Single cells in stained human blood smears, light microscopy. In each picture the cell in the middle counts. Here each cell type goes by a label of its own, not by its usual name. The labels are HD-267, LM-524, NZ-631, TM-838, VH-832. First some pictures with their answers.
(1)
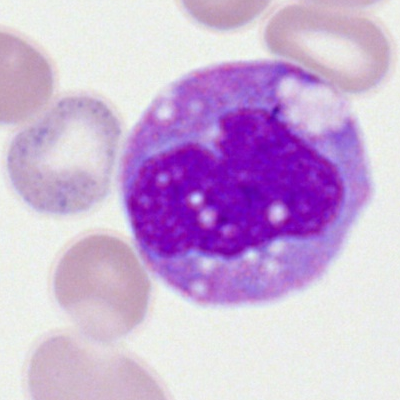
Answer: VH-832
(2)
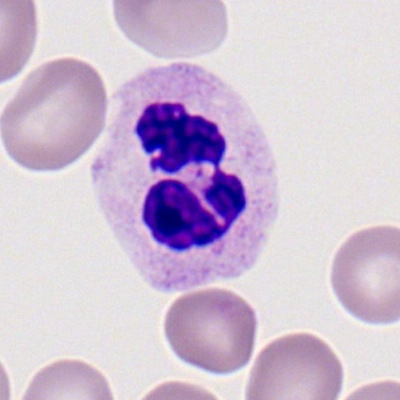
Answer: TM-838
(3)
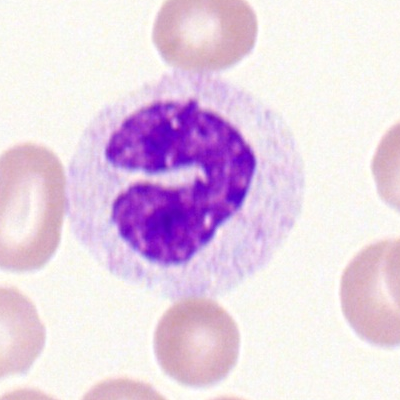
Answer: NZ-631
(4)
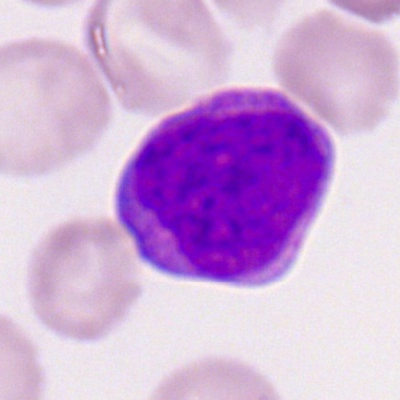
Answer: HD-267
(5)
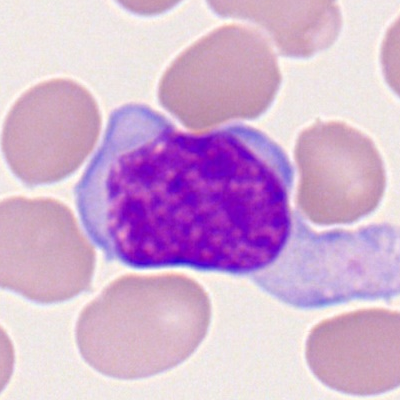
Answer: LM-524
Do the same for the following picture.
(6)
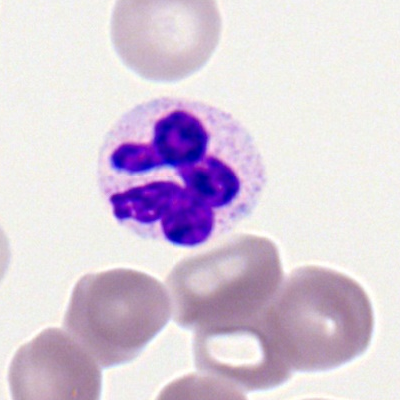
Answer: TM-838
